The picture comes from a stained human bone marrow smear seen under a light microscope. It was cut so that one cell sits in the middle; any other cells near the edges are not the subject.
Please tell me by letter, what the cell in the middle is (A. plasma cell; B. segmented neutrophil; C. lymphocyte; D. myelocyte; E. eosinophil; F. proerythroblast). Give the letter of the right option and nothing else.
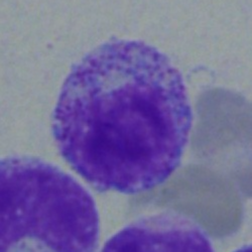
D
